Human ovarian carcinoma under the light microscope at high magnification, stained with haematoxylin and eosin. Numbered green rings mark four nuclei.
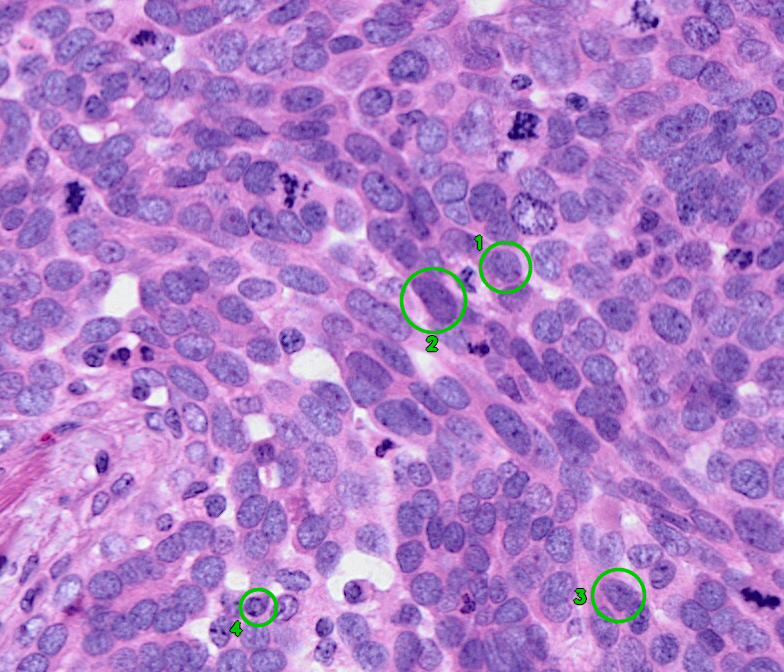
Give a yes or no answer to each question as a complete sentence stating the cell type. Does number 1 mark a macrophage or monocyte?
No, cell 1 is to be read as a carcinoma cell, not a macrophage or monocyte.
